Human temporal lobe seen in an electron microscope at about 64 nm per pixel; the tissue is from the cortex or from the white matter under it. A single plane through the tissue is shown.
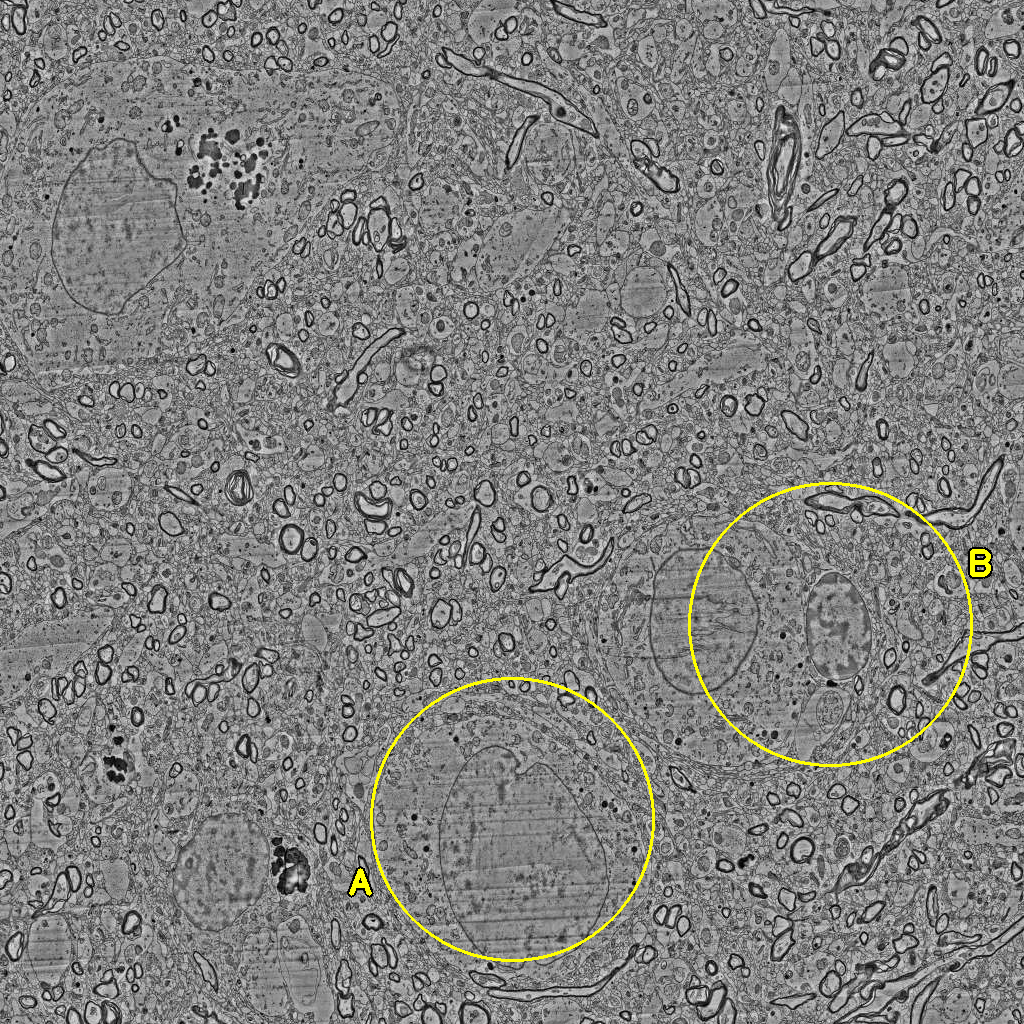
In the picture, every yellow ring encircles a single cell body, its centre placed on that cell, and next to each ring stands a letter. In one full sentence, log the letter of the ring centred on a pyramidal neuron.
The ring with the requested cell at its centre bears the letter A.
